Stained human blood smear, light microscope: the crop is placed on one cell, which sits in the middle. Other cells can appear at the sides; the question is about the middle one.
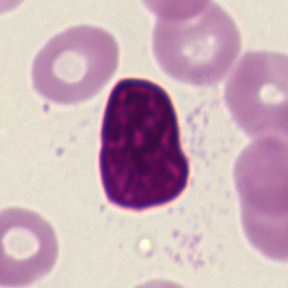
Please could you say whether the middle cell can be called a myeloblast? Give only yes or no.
no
